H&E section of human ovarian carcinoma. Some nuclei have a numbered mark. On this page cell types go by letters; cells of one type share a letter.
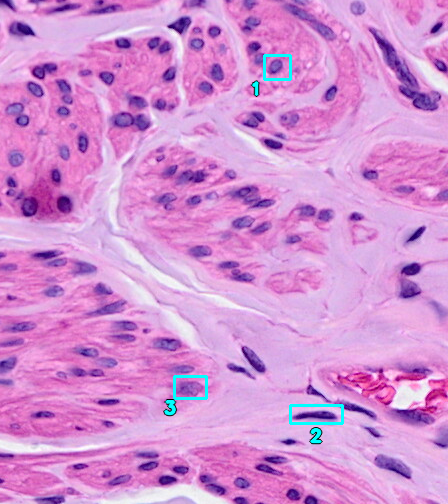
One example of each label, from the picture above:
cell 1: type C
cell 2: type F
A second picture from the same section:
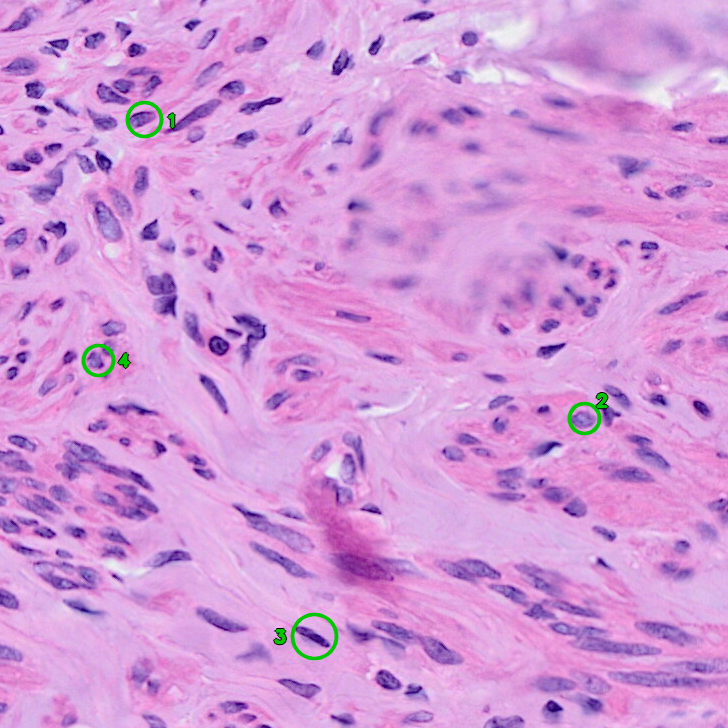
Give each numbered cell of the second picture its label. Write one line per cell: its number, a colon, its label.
1: type C
2: type C
3: type F
4: type C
